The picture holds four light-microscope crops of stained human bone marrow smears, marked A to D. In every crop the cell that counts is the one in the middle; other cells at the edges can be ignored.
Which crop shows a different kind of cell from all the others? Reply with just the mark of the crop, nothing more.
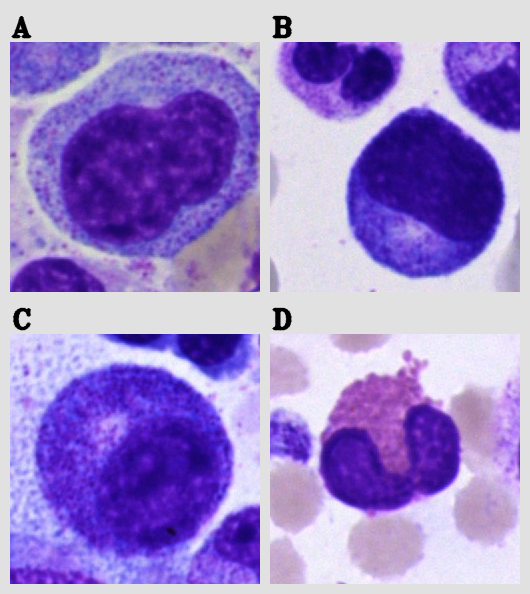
D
